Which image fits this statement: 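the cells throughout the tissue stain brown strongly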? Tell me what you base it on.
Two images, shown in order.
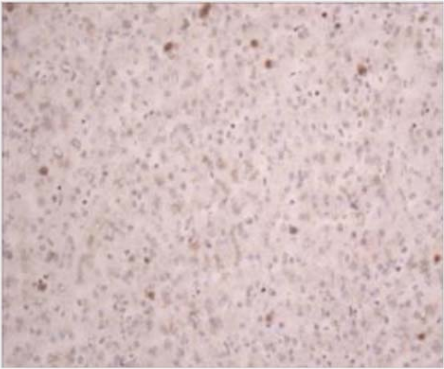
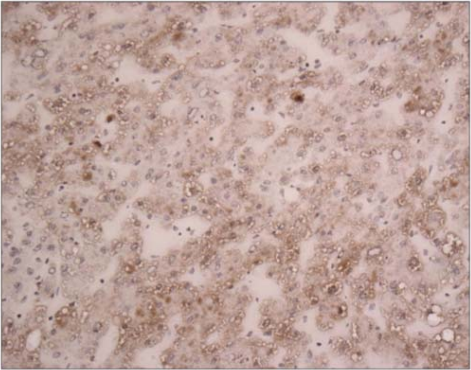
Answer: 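The second image. First image: the cells are pale with only faint brown and a few scattered darker cells. Second image: most cells carry a distinct brown cytoplasmic stain across the field.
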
